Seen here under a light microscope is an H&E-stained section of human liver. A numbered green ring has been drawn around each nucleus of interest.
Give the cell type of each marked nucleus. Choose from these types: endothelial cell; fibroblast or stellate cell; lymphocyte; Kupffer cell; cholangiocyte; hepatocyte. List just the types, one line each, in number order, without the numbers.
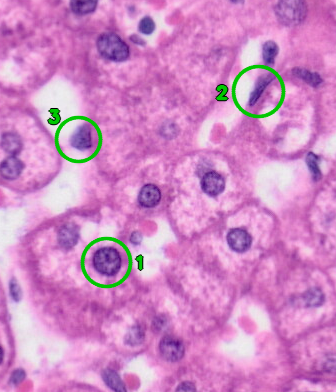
hepatocyte
Kupffer cell
endothelial cell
